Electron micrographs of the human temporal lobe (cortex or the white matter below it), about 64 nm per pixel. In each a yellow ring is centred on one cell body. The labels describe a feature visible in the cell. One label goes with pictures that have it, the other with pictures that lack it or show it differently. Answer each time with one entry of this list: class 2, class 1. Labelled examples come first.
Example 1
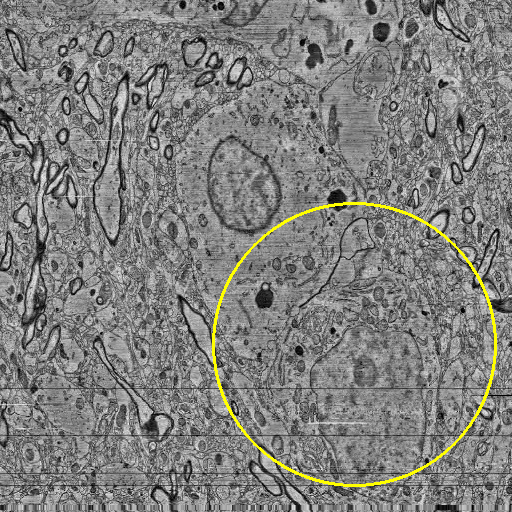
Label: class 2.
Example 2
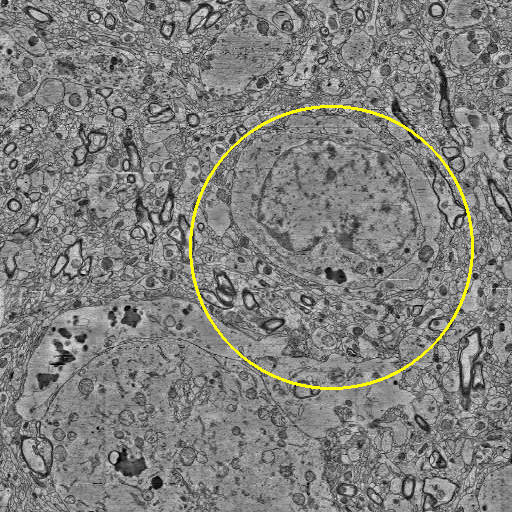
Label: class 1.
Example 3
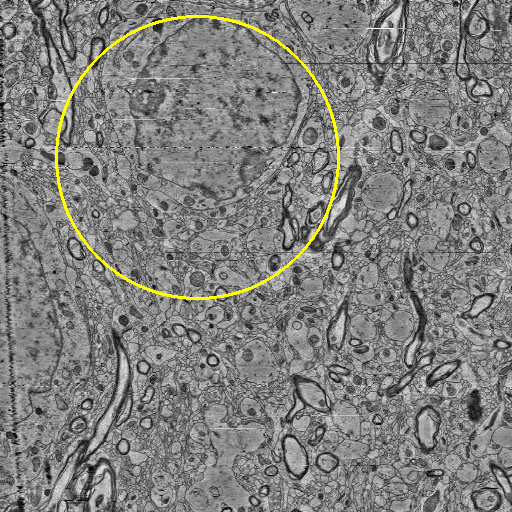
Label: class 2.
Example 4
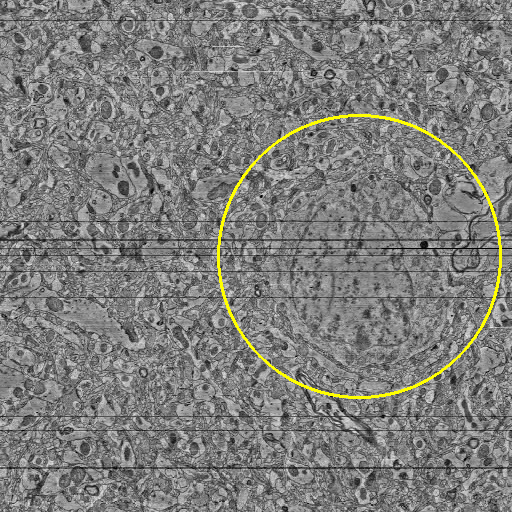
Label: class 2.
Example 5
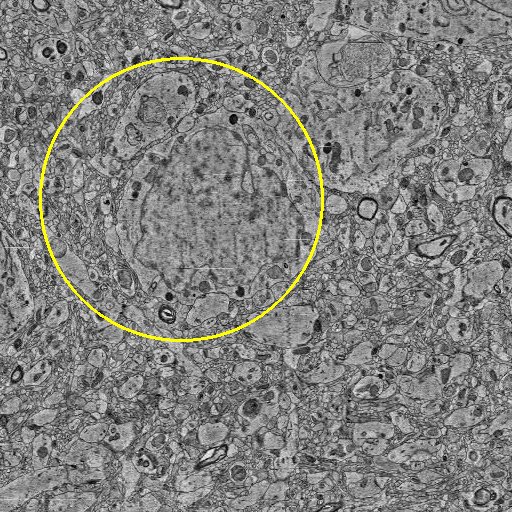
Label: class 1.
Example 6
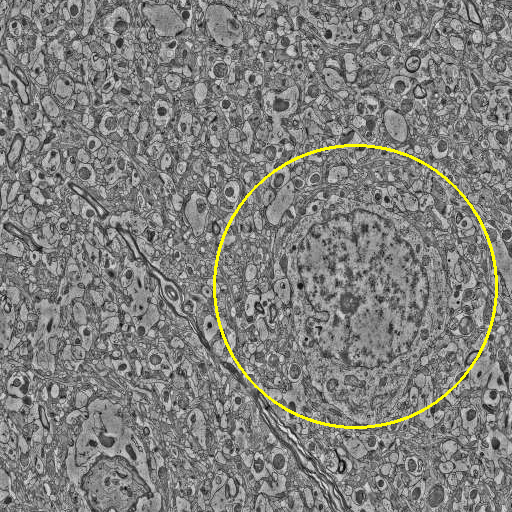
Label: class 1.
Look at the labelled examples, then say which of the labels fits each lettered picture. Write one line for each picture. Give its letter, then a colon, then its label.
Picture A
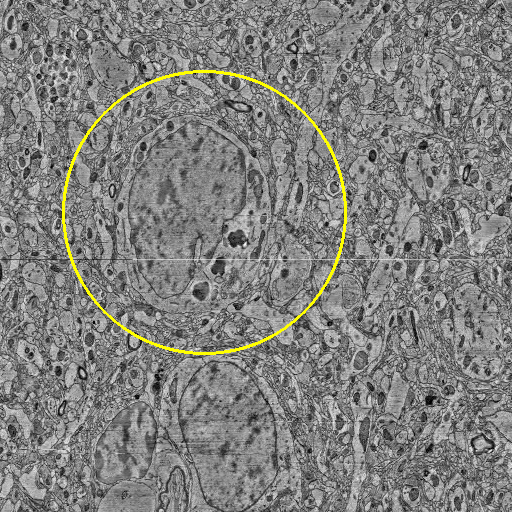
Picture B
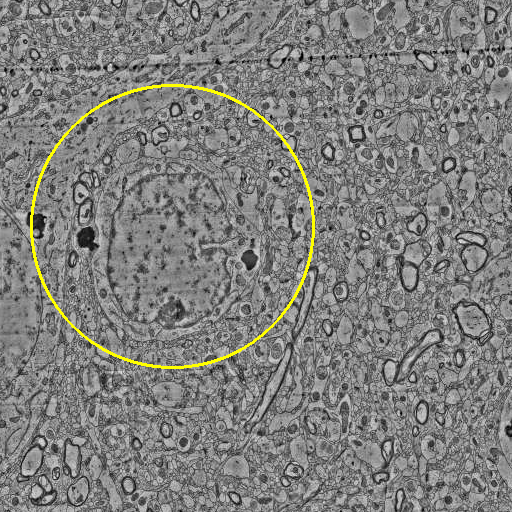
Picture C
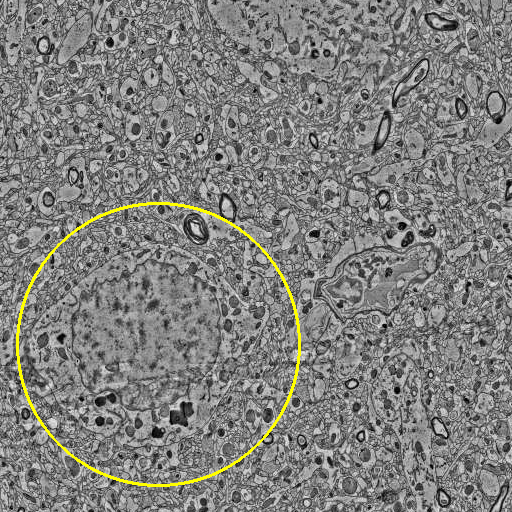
A: class 1.
B: class 1.
C: class 2.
